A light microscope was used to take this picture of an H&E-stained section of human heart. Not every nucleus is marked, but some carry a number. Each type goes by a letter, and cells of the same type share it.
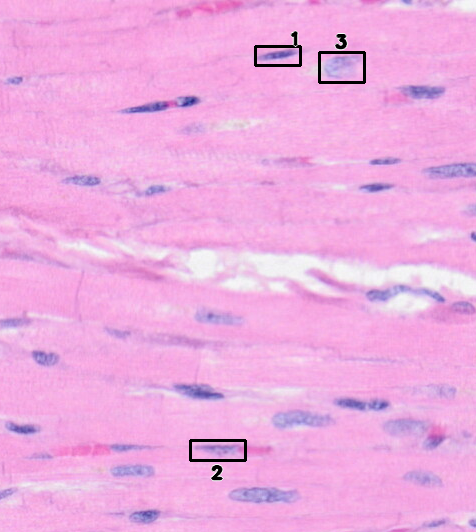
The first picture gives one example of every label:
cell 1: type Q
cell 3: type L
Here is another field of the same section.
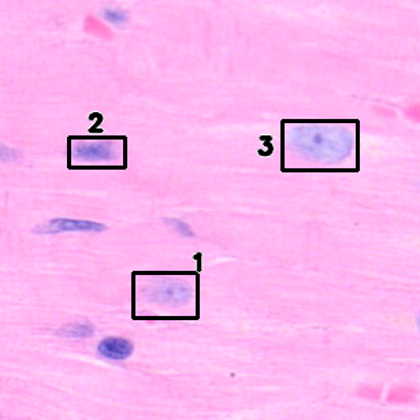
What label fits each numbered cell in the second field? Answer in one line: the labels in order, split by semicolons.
type L; type Q; type L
